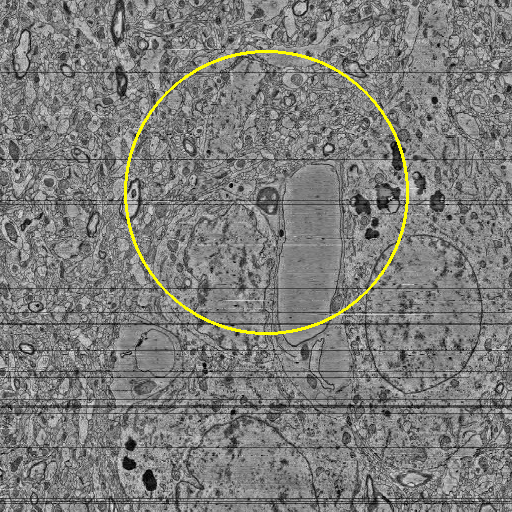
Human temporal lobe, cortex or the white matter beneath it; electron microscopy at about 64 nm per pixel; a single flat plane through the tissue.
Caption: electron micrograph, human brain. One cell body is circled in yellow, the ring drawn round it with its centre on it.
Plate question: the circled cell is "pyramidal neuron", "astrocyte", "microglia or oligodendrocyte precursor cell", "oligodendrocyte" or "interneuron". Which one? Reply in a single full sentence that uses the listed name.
The yellow ring on the plate is centred on a microglial cell or oligodendrocyte precursor cell, going by the listed names.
